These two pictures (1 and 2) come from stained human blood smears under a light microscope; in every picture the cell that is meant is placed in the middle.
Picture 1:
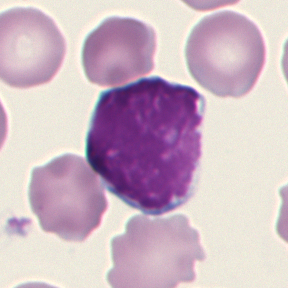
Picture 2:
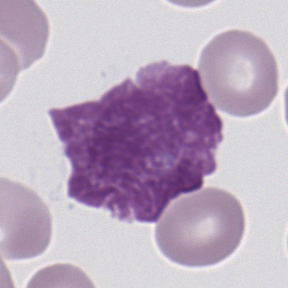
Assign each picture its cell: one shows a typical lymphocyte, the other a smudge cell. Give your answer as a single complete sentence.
It is picture 1 that shows a typical lymphocyte, and picture 2 that shows a smudge cell.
